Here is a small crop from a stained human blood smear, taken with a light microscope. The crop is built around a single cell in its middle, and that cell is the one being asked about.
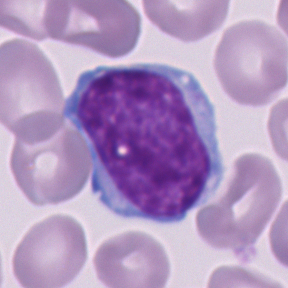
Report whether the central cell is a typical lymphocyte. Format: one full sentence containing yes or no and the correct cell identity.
No, the central cell qualifies as a myeloblast rather than as a typical lymphocyte.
